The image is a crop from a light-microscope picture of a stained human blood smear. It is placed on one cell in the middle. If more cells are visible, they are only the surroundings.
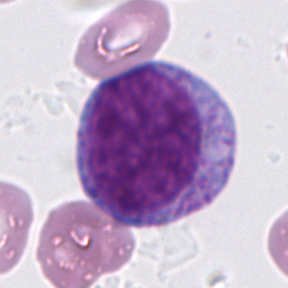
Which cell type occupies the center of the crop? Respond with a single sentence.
The cell in the middle of the field of view is a promyelocyte.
